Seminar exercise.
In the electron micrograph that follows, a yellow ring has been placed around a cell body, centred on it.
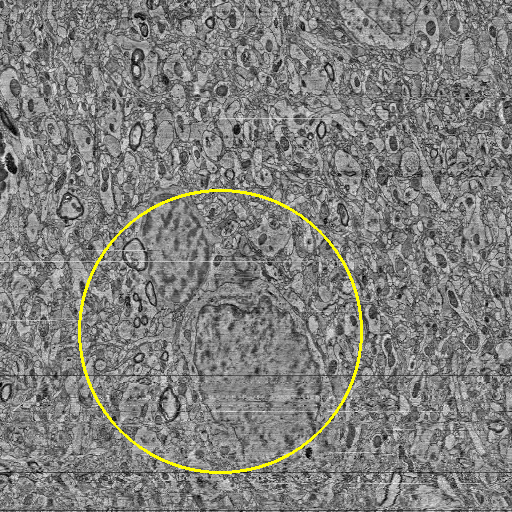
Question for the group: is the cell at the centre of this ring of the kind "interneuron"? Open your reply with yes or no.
Yes, the cell in the ring's centre is of that kind.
